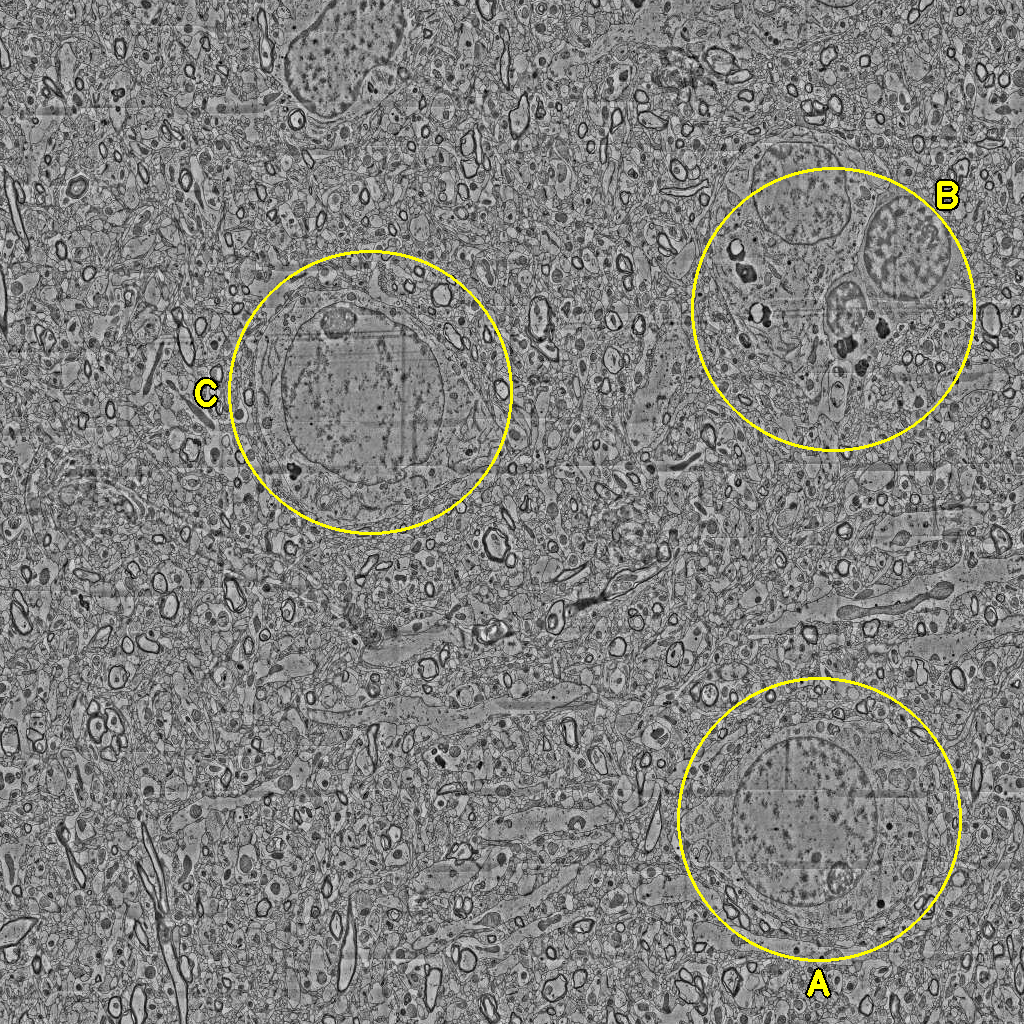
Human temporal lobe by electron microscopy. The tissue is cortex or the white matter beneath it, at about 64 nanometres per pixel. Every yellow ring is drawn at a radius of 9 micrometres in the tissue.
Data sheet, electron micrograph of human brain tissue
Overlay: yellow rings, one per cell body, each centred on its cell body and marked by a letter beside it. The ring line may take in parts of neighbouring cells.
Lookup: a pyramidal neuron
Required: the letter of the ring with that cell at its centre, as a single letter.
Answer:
C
